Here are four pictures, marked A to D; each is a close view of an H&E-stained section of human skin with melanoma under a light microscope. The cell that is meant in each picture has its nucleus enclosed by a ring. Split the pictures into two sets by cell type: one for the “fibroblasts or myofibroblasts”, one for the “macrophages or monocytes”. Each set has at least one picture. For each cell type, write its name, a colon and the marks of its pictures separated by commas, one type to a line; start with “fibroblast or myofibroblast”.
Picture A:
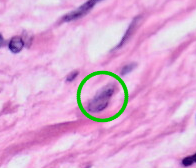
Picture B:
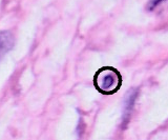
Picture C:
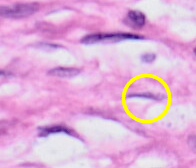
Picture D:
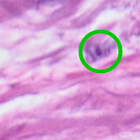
fibroblast or myofibroblast: C, D
macrophage or monocyte: A, B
